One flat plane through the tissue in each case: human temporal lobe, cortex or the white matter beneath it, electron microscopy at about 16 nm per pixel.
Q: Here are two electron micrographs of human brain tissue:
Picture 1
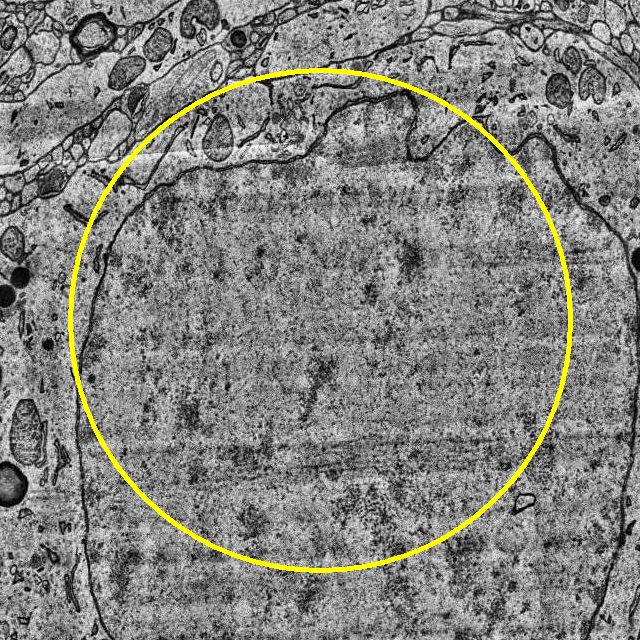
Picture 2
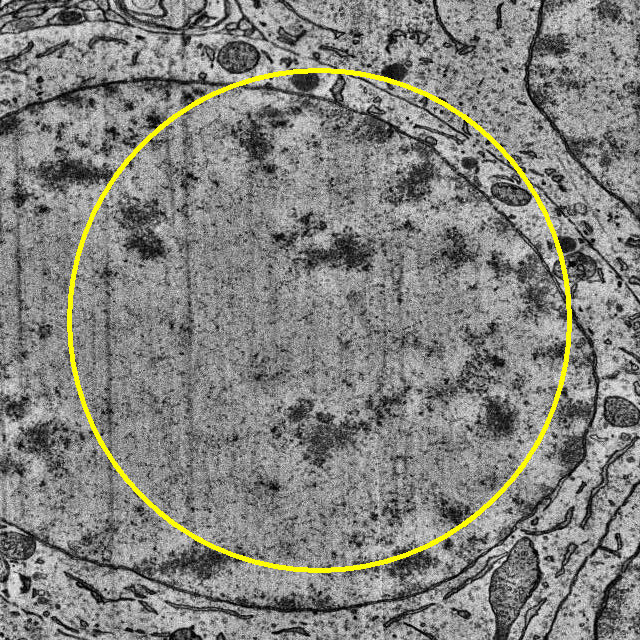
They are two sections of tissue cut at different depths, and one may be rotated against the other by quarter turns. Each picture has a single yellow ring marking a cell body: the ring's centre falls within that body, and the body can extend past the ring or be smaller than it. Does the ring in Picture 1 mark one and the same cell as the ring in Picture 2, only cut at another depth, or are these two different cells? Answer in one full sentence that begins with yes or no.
No, one ring and the other ring mark two distinct cells.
